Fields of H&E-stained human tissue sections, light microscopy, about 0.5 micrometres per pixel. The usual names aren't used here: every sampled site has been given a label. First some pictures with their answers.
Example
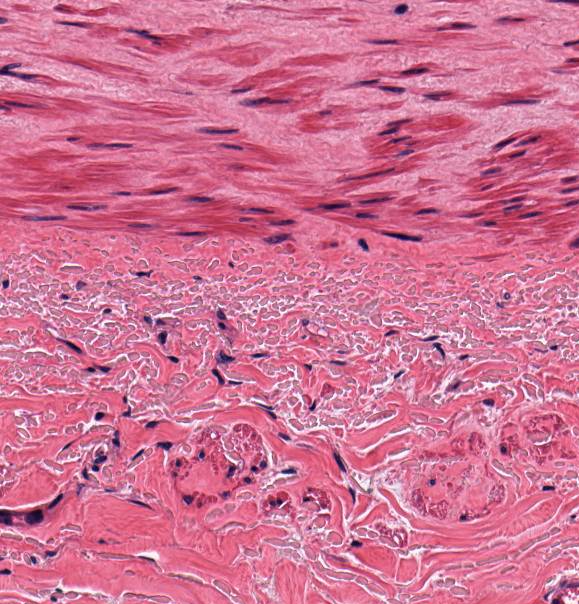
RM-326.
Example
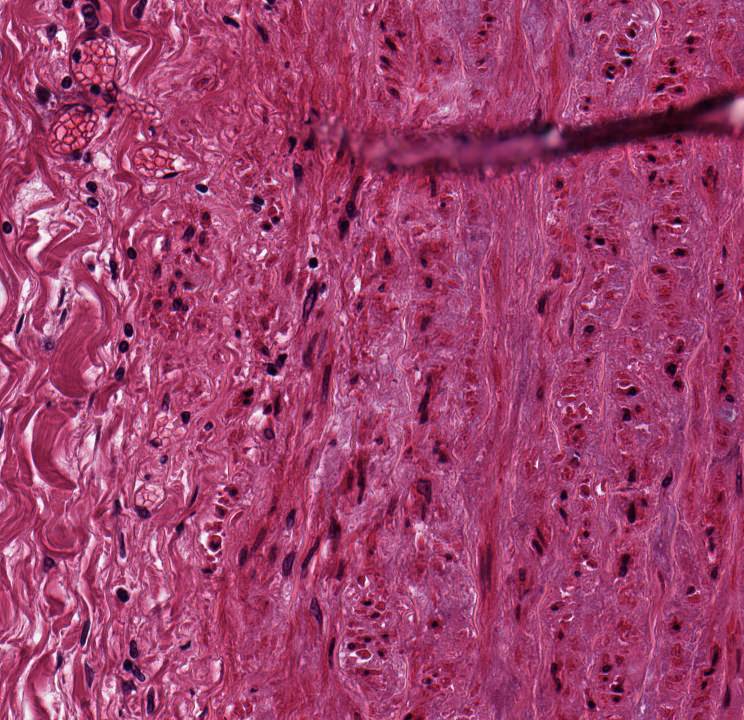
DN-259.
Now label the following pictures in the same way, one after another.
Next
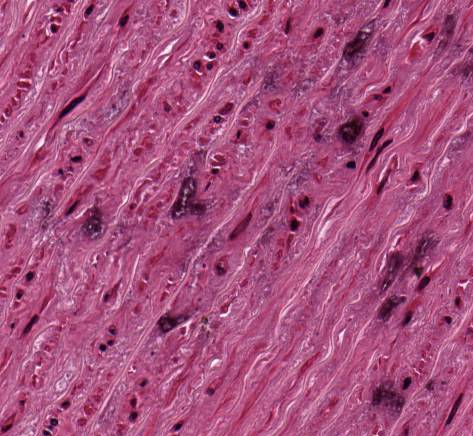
DN-259.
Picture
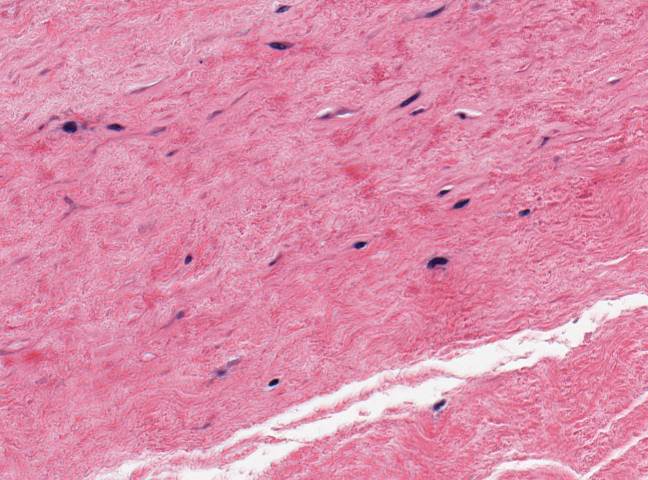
DN-259.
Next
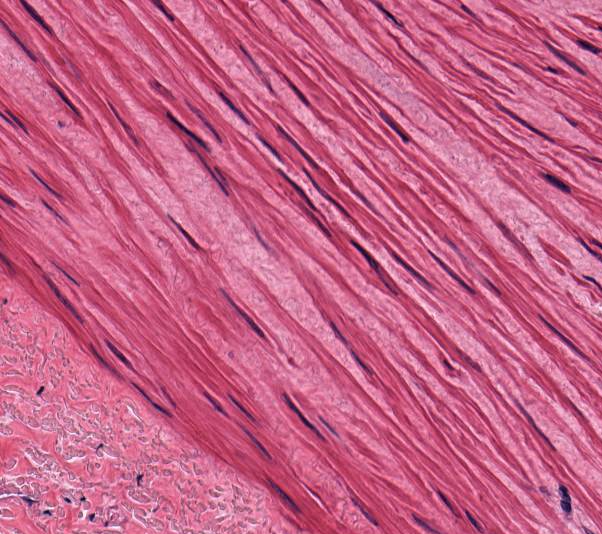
RM-326.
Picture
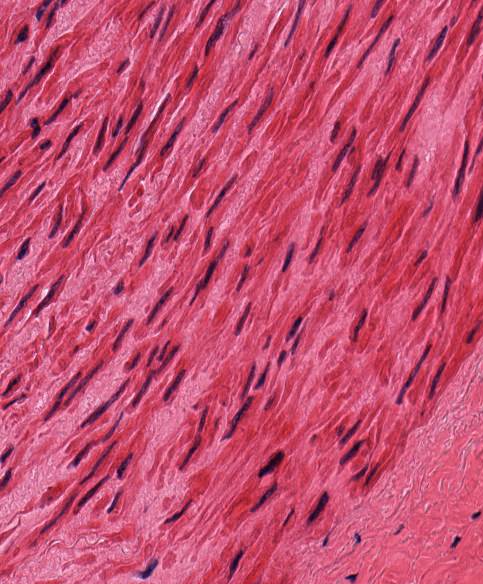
RM-326.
